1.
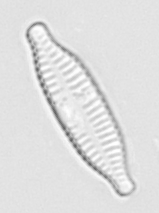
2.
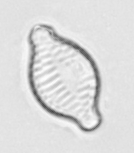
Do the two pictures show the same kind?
Yes, both are Fragilaria.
